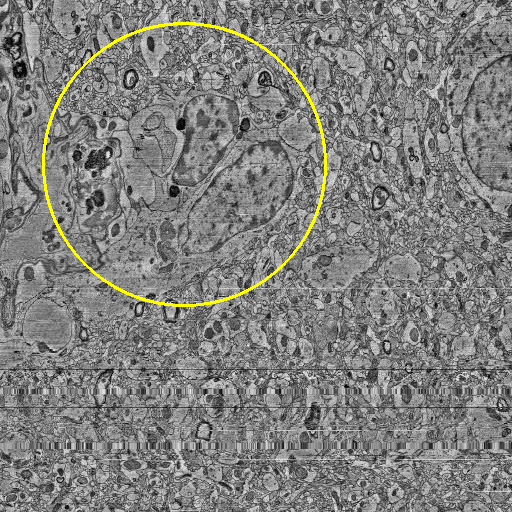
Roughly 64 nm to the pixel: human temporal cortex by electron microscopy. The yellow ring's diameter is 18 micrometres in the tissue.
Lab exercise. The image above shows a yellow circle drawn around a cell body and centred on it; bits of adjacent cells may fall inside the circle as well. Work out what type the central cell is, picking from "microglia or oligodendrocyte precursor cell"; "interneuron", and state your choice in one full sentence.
In the image above, the cell at the centre of the yellow circle is a microglial cell or oligodendrocyte precursor cell.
